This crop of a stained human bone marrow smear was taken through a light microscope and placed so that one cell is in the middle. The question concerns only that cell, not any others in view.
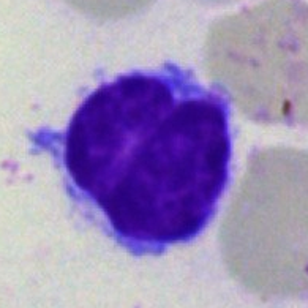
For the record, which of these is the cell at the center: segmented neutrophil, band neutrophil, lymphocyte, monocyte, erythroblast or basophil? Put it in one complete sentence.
The central cell in this smear crop is a lymphocyte.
